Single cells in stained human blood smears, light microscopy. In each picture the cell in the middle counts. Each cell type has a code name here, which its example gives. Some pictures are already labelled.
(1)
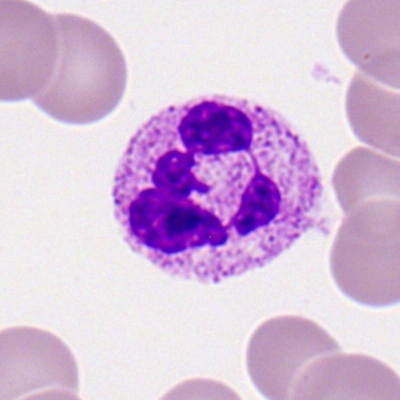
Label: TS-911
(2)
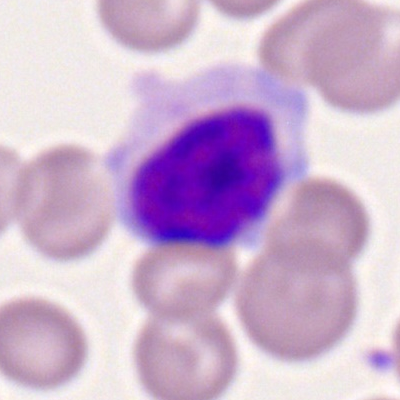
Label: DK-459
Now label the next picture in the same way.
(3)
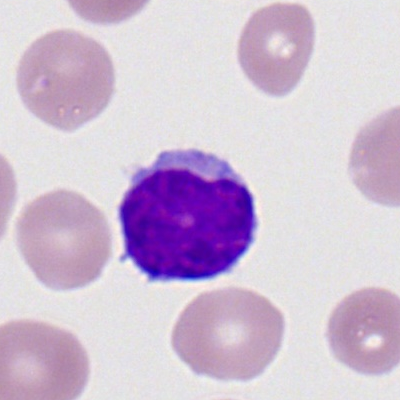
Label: DK-459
